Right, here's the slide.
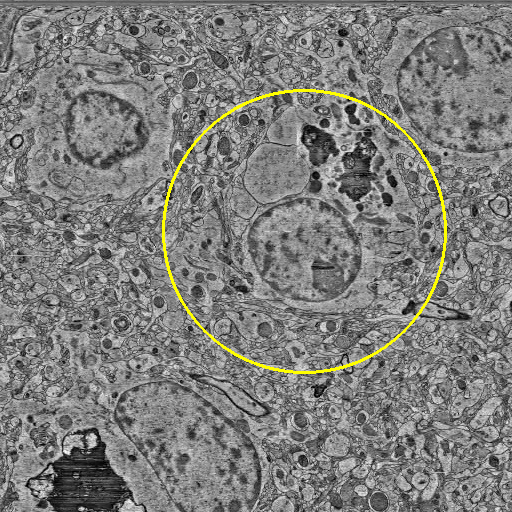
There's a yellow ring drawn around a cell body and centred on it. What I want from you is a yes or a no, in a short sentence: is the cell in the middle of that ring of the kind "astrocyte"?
Yes, it's of that kind.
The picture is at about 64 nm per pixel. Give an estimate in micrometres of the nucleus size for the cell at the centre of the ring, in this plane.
About 8 by 6 micrometers for the nucleus, in this plane.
